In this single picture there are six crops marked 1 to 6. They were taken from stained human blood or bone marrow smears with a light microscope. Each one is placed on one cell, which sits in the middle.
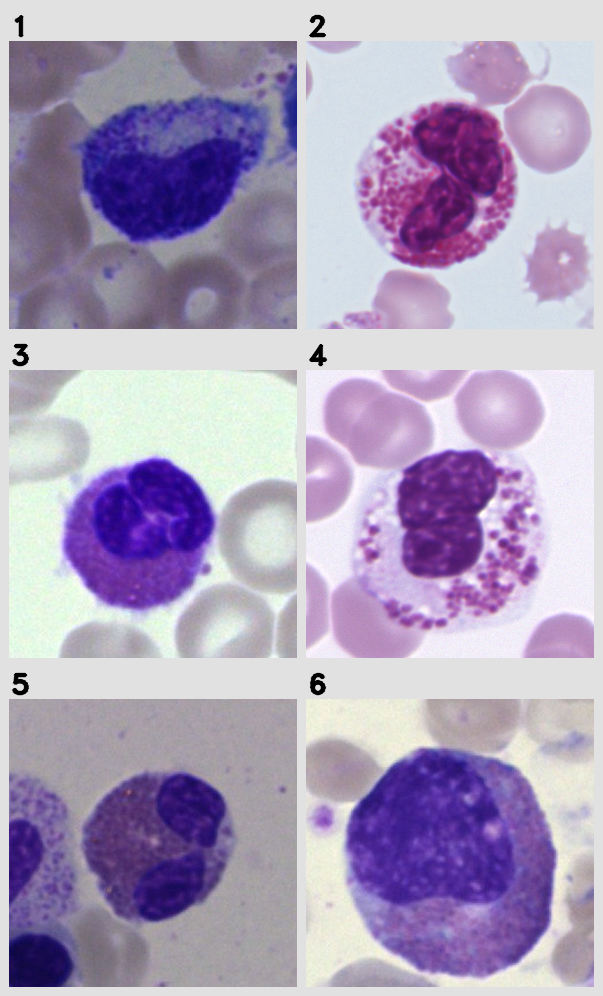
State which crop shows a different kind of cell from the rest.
1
